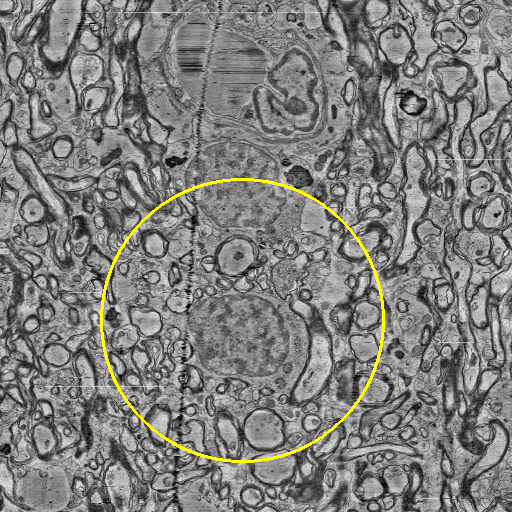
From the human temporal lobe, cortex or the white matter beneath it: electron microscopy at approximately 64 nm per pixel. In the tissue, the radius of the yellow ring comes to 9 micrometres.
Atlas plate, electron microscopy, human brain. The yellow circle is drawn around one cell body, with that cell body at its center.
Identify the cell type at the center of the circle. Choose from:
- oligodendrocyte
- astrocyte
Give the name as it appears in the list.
oligodendrocyte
